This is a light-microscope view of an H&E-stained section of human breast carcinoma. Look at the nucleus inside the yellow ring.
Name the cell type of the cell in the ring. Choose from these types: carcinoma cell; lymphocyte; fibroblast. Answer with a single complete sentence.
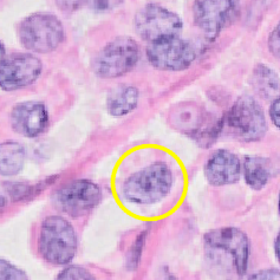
Cell type answer for this item: the cell in the ring is a carcinoma cell.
